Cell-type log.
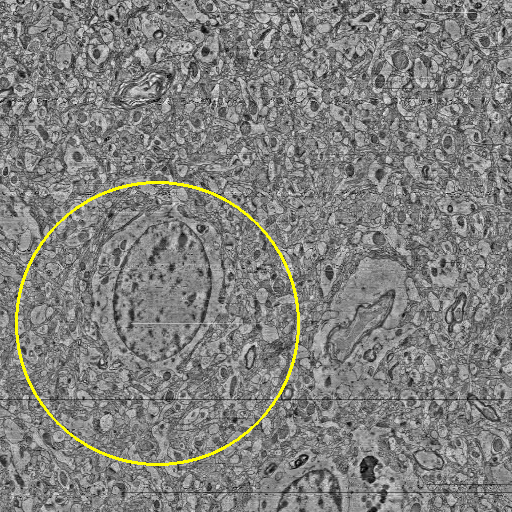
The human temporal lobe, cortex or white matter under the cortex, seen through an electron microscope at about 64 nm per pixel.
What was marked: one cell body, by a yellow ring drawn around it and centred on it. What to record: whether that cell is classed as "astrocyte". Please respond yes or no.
Yes, the cell is classed that way.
